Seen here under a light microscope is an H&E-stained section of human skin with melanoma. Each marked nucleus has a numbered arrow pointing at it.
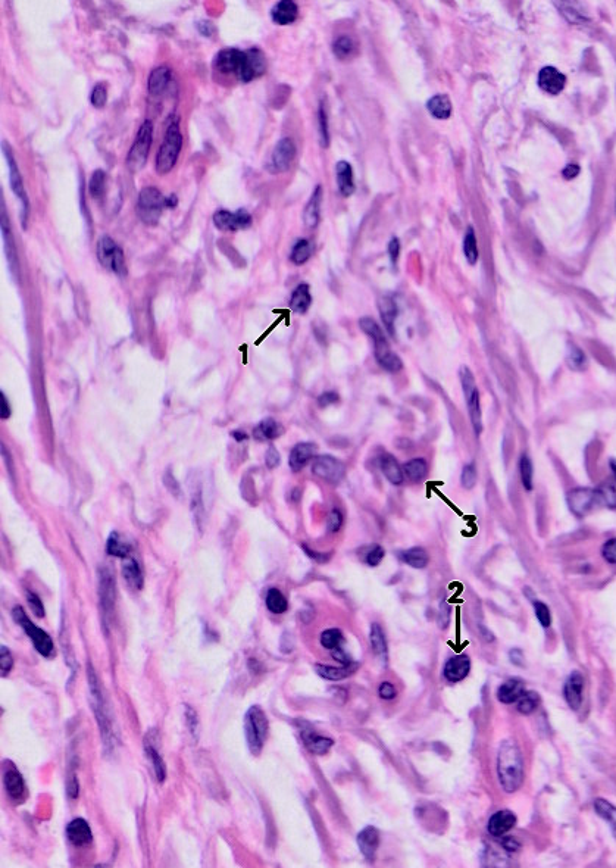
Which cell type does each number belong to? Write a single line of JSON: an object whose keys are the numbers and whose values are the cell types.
{"1": "plasma cell", "2": "plasma cell", "3": "endothelial cell"}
